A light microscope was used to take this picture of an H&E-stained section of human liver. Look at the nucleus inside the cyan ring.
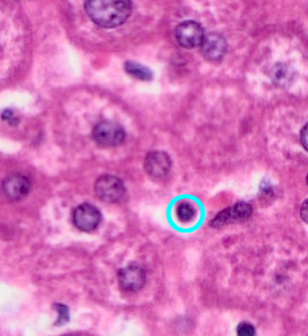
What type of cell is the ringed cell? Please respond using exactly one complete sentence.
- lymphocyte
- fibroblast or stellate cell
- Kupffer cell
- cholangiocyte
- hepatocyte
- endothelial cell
The cell type of the ringed cell is that of a lymphocyte.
